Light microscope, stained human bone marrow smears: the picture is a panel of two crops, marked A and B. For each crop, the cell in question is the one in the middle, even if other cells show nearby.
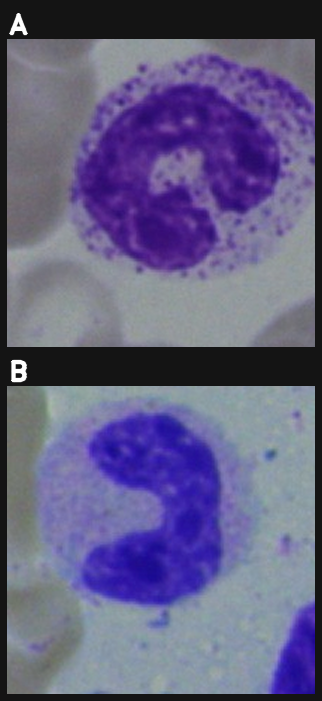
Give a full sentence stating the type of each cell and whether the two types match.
Yes, the two central cells, one per crop, are band neutrophils.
